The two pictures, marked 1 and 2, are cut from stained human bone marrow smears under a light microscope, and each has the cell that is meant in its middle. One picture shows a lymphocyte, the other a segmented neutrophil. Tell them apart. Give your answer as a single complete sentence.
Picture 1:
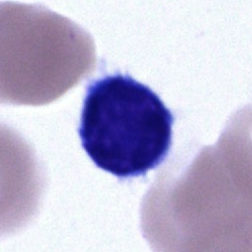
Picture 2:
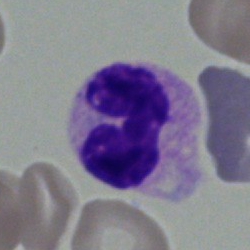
Picture 1 shows a lymphocyte and picture 2 shows a segmented neutrophil.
